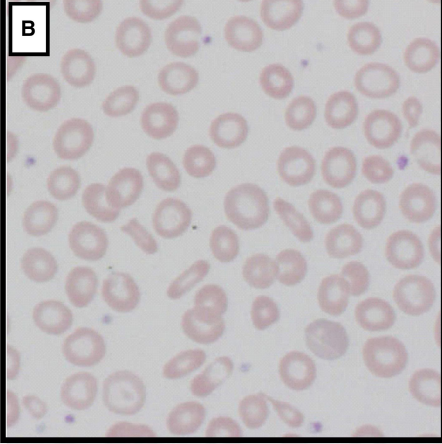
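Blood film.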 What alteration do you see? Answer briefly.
Hypochromic erythrocytes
